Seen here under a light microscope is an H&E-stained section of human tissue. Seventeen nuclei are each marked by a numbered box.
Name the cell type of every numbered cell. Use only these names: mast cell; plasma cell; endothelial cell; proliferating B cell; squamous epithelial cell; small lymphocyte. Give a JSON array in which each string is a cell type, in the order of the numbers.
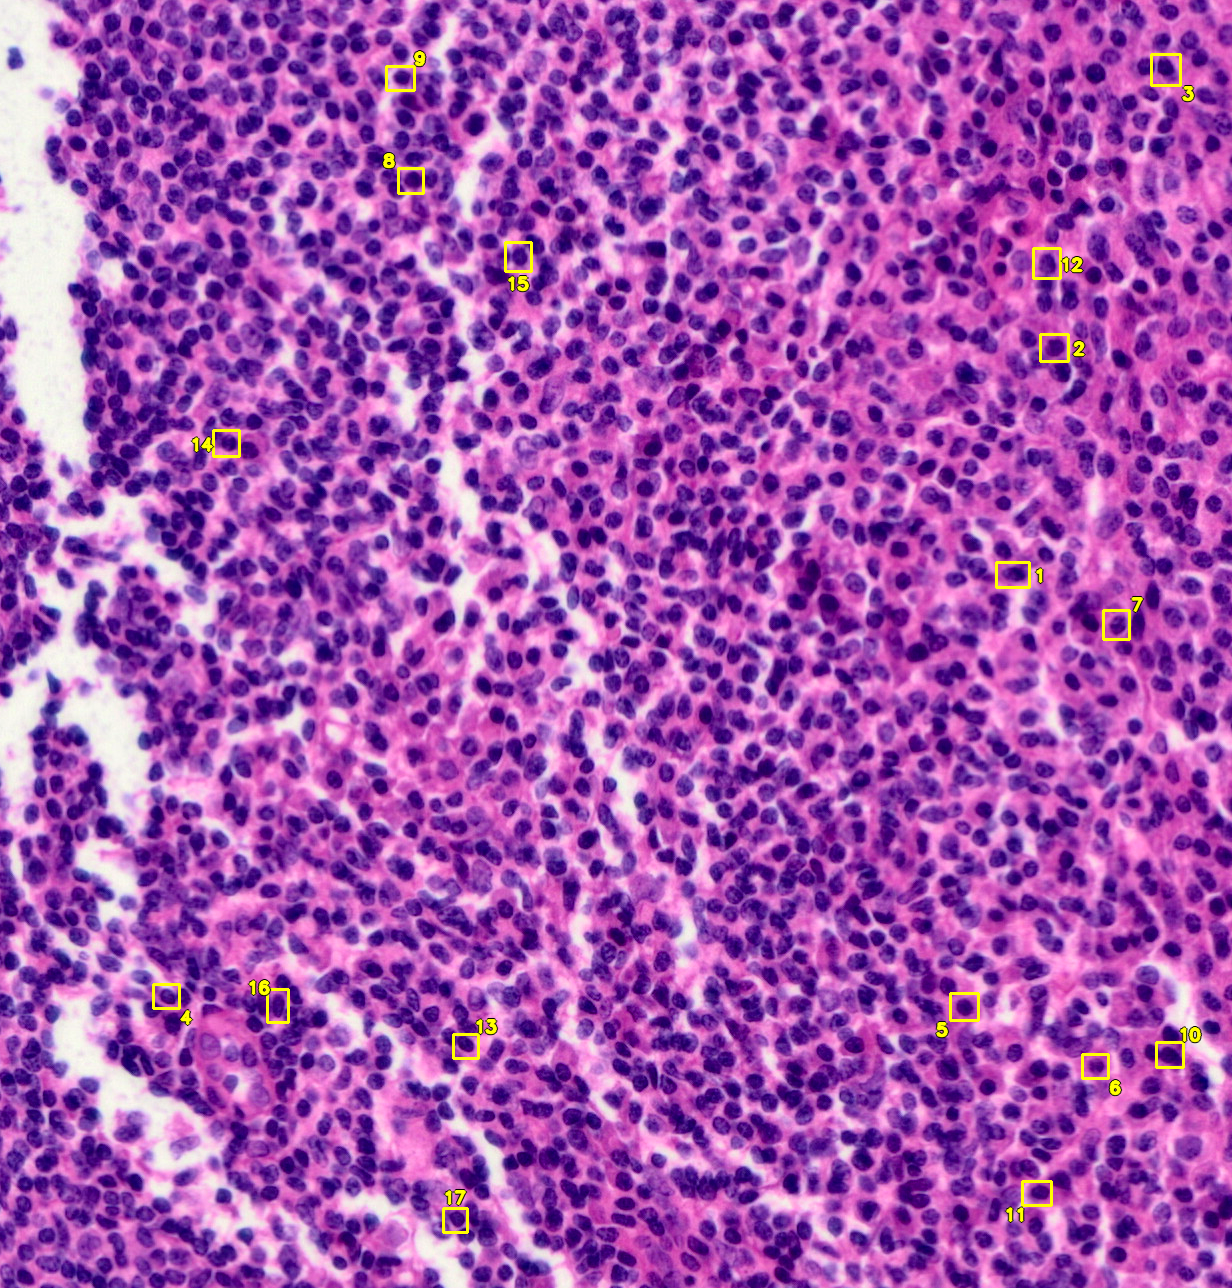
["plasma cell", "plasma cell", "plasma cell", "small lymphocyte", "plasma cell", "plasma cell", "plasma cell", "small lymphocyte", "small lymphocyte", "plasma cell", "plasma cell", "plasma cell", "small lymphocyte", "small lymphocyte", "small lymphocyte", "small lymphocyte", "small lymphocyte"]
